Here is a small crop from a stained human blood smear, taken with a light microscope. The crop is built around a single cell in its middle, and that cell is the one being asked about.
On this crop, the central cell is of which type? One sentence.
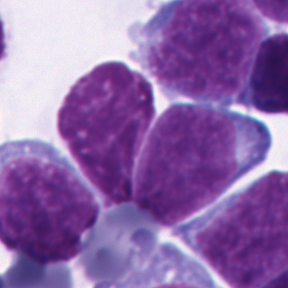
At the center of the crop sits a myeloblast.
